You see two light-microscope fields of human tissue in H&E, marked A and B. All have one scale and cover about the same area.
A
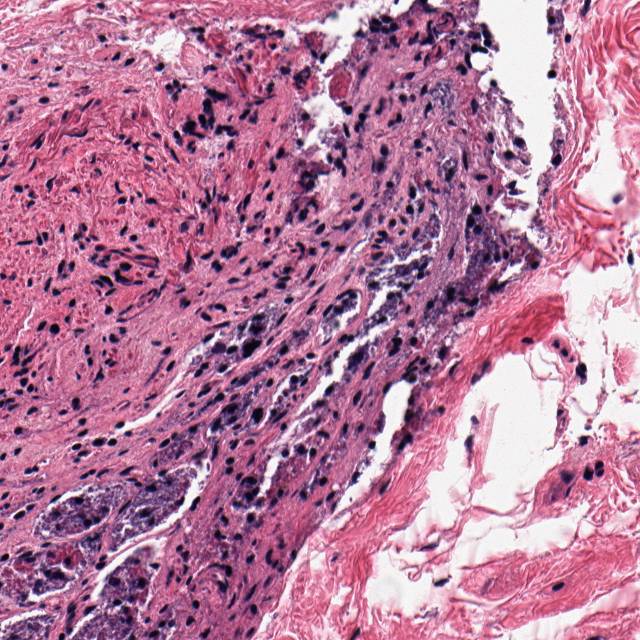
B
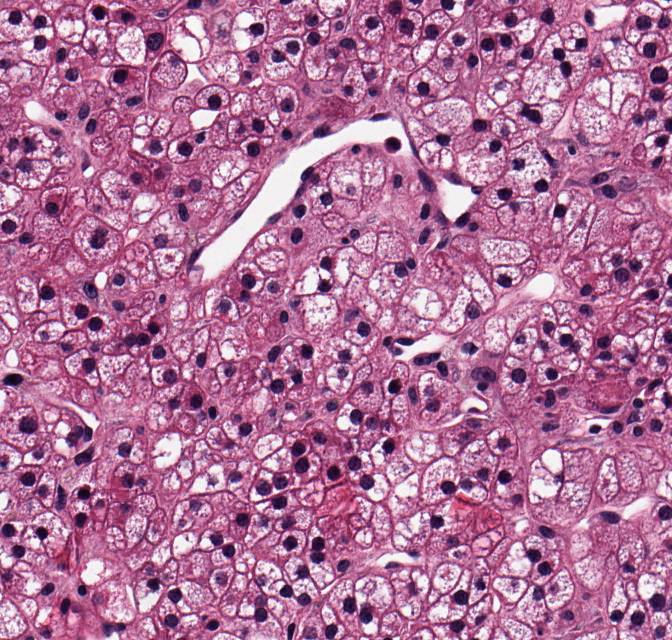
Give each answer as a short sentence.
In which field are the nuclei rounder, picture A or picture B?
It is picture B whose nuclei are the rounder.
